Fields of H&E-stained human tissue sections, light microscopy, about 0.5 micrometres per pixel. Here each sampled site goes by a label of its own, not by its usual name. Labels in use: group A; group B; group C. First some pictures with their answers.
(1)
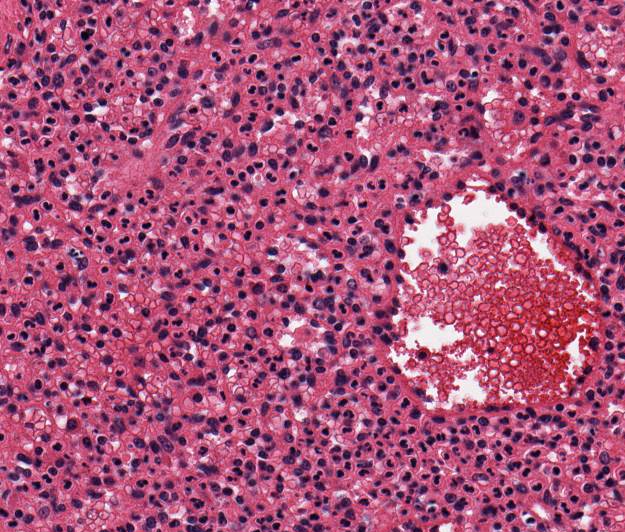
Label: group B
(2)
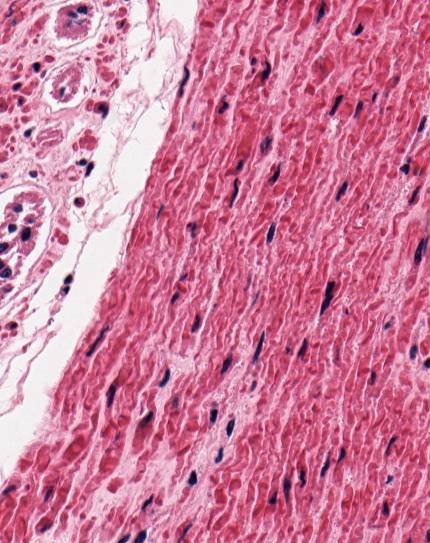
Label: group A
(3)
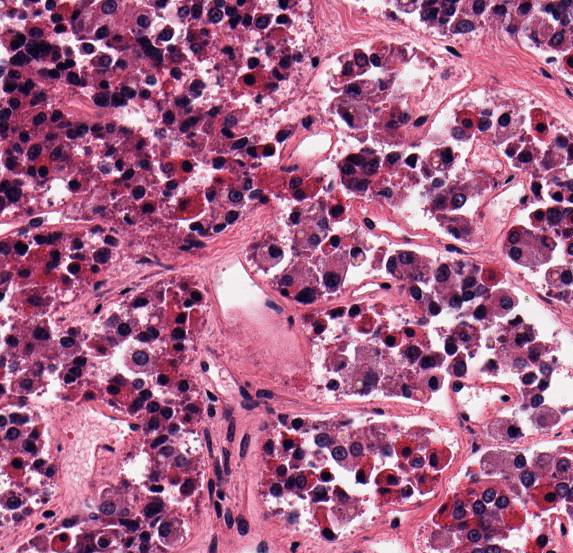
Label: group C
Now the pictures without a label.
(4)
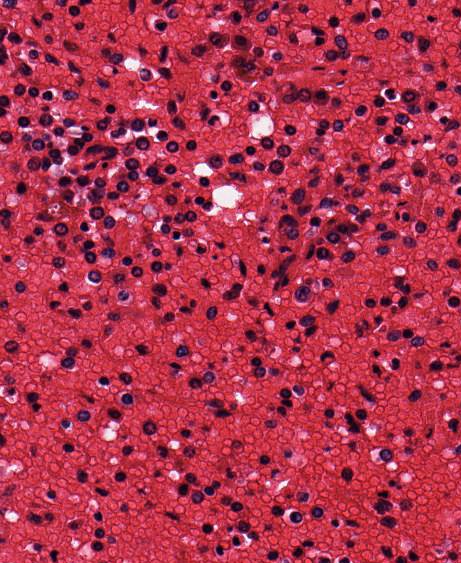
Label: group B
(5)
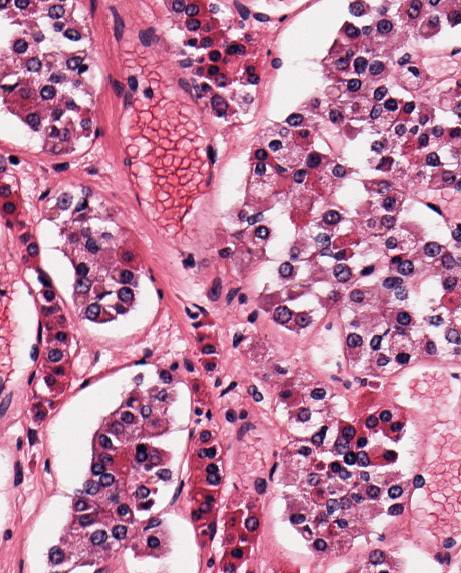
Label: group C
